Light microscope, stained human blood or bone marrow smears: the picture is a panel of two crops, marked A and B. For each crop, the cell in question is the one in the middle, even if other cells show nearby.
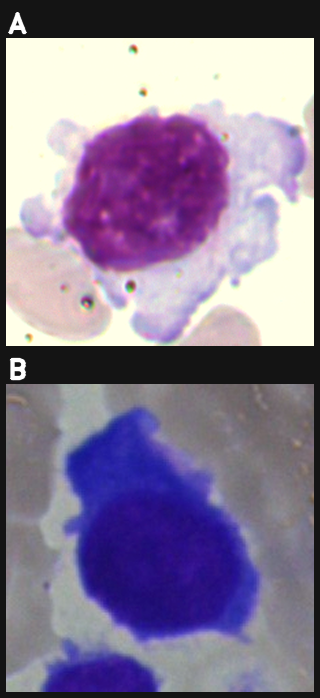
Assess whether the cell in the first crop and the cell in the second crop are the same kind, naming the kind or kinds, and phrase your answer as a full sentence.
Yes, both crops are centred on plasma cells.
